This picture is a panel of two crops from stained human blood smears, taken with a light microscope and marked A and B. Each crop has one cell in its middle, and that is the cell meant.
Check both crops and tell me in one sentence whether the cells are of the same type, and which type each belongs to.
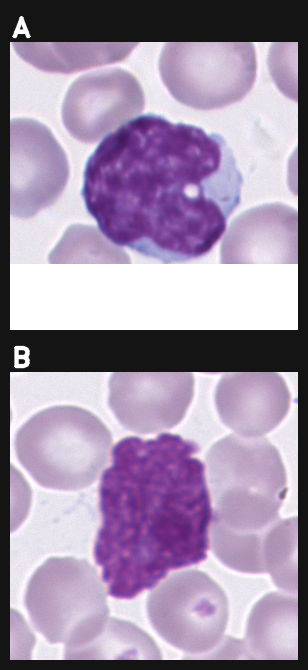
No, crop A shows a myeloblast, and the cell in crop B is a smudge cell.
